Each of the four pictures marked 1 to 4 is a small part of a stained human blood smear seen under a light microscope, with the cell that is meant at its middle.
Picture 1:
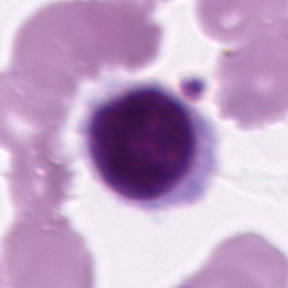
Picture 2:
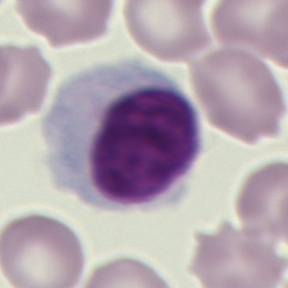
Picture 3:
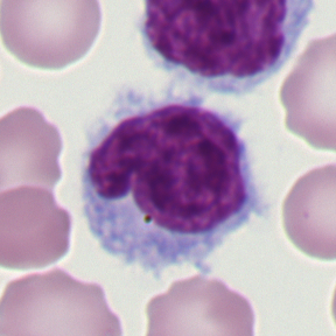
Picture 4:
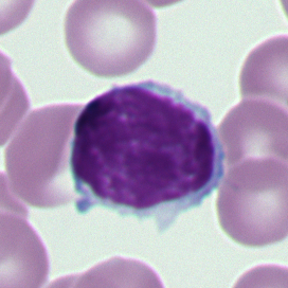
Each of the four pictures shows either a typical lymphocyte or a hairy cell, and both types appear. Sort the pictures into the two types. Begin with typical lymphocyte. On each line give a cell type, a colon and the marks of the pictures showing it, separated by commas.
typical lymphocyte: 4
hairy cell: 1, 2, 3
